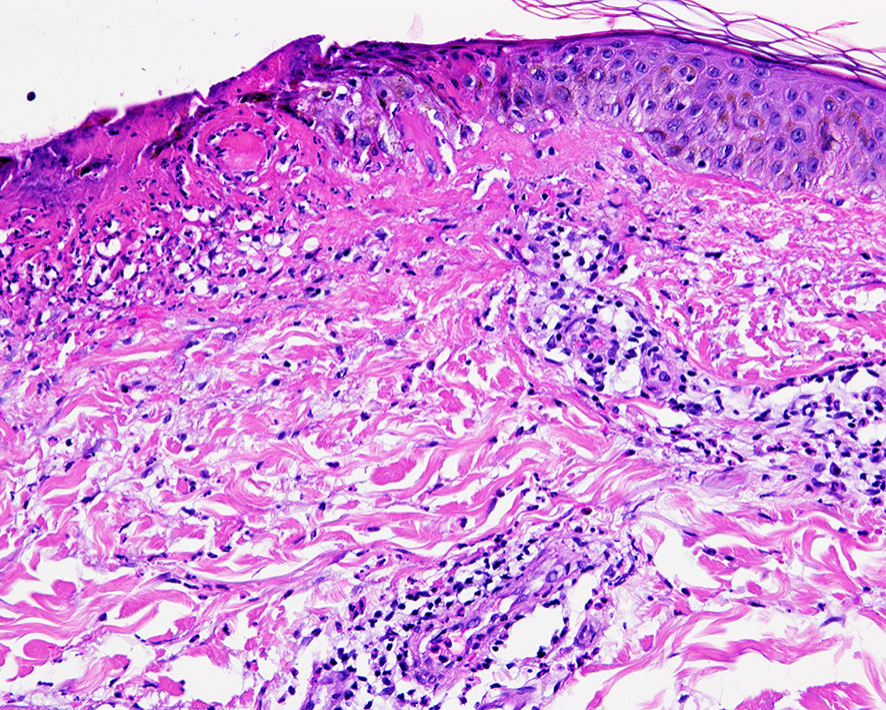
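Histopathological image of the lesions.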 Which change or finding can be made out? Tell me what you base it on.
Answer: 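Ulceration. On the left, the surface epidermis is missing and replaced by a pink crust mixed with inflammatory cells. On the right, intact stratified squamous epidermis is still present beside the eroded area.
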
